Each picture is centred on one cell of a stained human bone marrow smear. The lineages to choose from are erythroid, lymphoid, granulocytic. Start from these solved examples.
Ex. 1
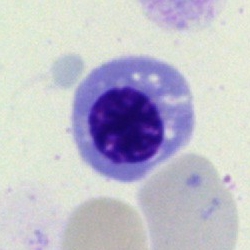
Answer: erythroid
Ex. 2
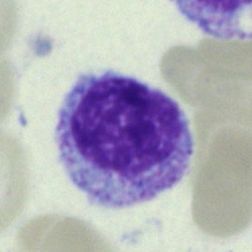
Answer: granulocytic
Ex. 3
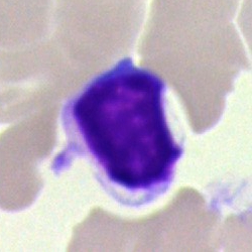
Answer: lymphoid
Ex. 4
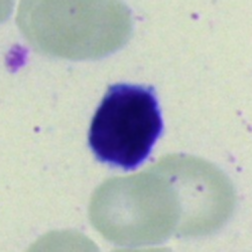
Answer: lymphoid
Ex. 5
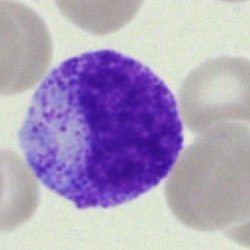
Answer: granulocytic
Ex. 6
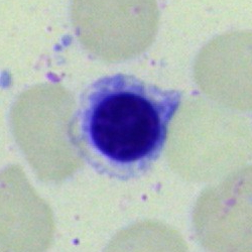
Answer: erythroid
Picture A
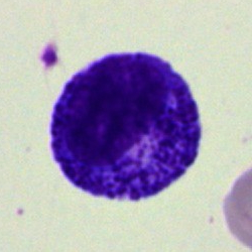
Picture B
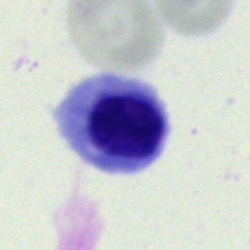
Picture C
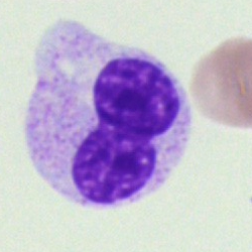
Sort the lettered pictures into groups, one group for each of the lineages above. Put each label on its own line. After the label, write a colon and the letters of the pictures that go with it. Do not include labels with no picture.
erythroid: B
granulocytic: A, C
